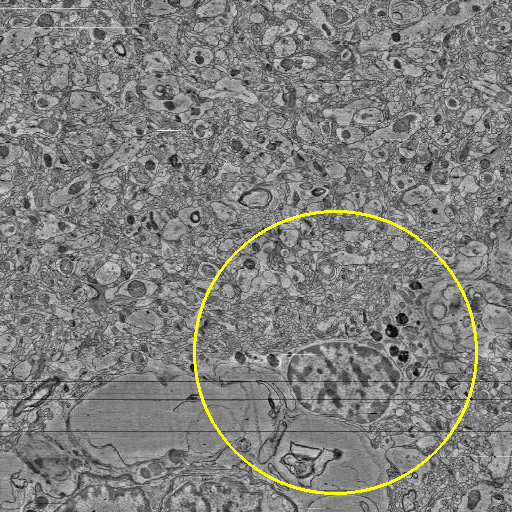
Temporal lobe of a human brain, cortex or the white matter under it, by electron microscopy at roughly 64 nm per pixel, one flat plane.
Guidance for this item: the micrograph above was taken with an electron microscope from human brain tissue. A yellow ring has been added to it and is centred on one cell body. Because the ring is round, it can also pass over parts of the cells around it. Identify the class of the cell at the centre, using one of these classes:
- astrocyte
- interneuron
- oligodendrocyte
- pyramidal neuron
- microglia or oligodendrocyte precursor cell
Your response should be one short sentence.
The ring surrounds the body of a microglial cell or oligodendrocyte precursor cell.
